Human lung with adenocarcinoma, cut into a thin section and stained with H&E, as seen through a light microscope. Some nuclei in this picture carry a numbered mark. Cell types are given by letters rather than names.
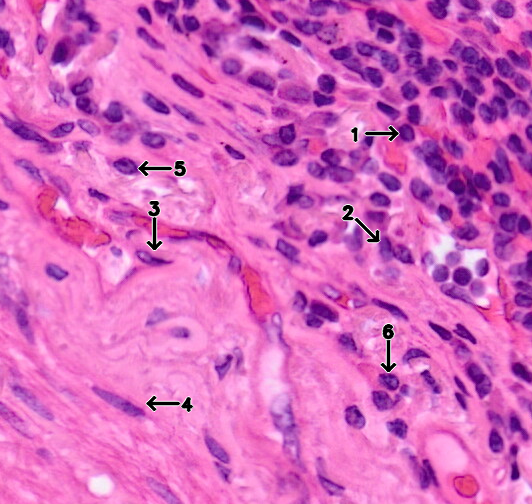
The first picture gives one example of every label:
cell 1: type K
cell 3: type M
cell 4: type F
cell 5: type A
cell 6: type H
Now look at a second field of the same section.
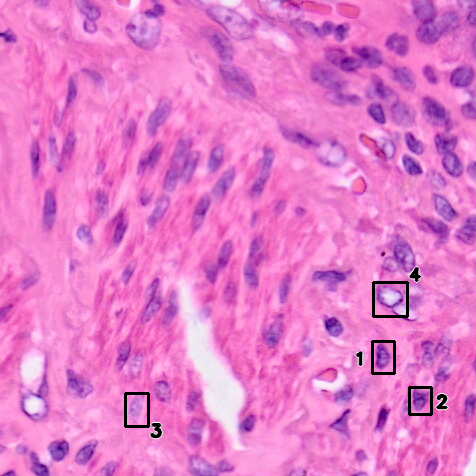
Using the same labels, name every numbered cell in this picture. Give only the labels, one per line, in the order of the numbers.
type H
type F
type F
type M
